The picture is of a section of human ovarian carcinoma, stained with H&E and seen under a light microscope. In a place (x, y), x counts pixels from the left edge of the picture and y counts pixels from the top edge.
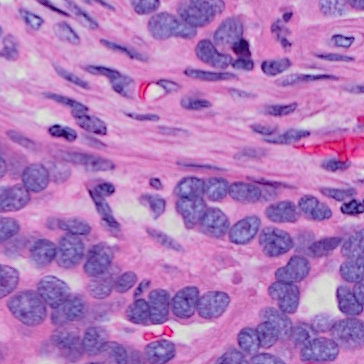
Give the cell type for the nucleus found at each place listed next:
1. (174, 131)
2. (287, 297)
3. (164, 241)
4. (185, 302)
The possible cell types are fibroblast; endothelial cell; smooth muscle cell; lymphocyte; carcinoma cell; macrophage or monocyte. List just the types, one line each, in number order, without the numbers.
fibroblast
carcinoma cell
fibroblast
carcinoma cell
